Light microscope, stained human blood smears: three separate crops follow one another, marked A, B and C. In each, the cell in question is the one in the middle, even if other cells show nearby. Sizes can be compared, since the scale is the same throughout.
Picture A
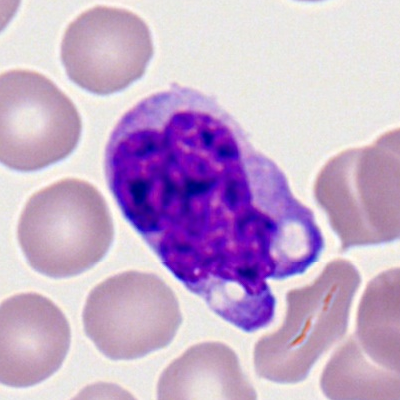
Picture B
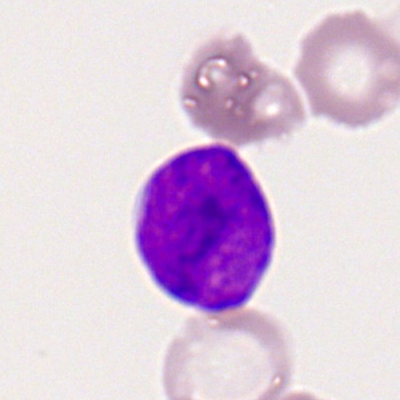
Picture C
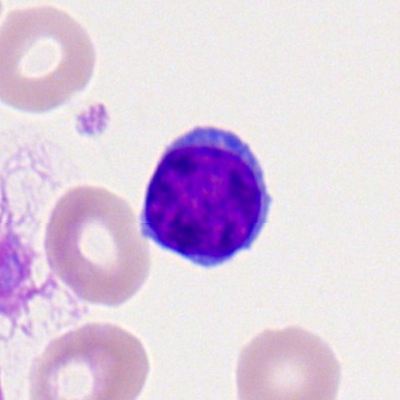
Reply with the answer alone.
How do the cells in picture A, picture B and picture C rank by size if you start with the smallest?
C, B, A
